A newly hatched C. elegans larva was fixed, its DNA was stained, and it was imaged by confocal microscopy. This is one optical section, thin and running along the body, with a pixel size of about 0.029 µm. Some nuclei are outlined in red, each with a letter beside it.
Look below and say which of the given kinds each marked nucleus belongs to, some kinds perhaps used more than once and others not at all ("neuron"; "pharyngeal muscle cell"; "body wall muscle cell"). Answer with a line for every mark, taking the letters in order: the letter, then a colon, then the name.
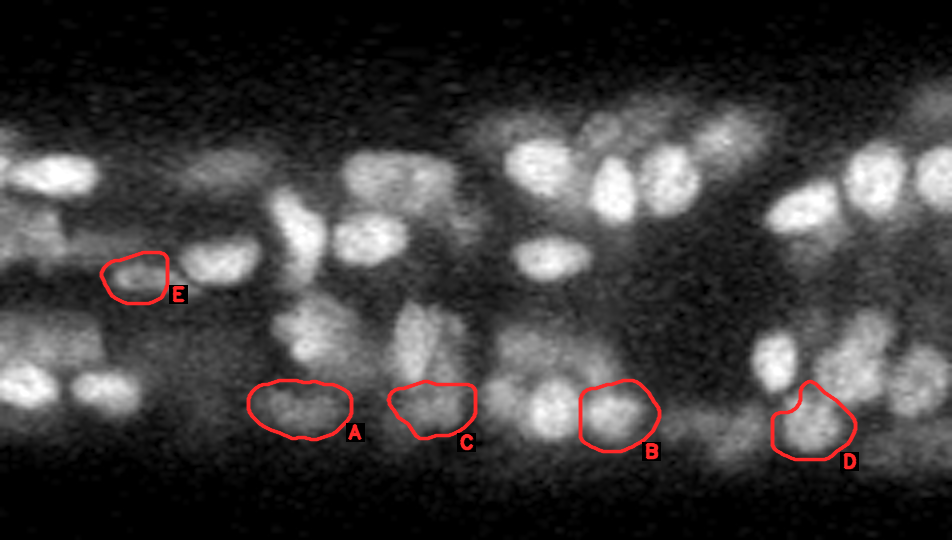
A: body wall muscle cell
B: neuron
C: body wall muscle cell
D: neuron
E: pharyngeal muscle cell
